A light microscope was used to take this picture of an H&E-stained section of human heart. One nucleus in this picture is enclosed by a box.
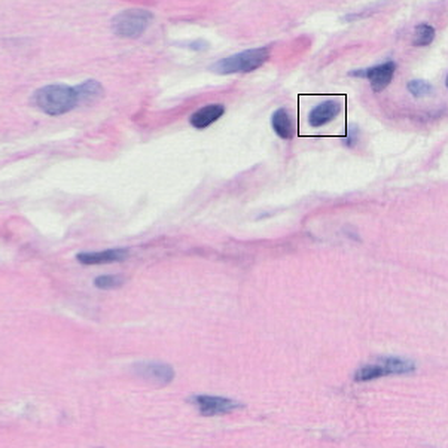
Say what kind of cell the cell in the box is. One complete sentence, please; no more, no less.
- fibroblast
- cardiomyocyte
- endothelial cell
Within this tissue, the cell in the box is a fibroblast.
